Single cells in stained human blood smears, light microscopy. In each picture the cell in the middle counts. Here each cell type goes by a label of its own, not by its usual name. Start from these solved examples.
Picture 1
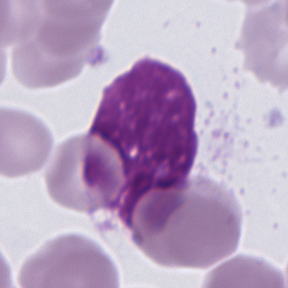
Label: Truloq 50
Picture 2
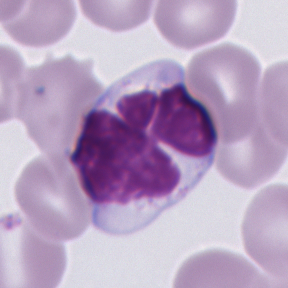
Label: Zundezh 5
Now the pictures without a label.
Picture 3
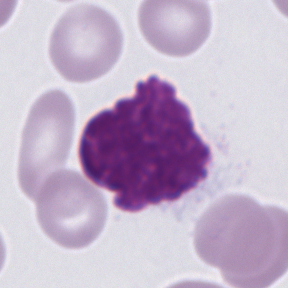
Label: Truloq 50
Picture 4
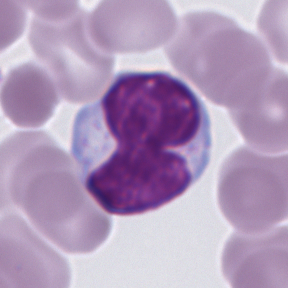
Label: Zundezh 5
